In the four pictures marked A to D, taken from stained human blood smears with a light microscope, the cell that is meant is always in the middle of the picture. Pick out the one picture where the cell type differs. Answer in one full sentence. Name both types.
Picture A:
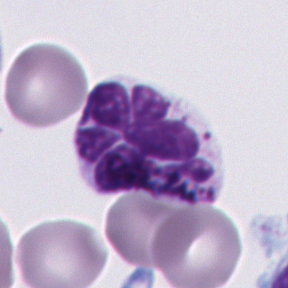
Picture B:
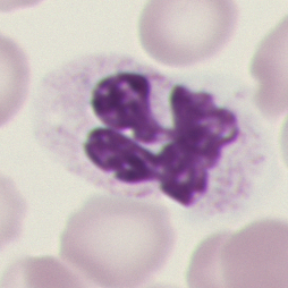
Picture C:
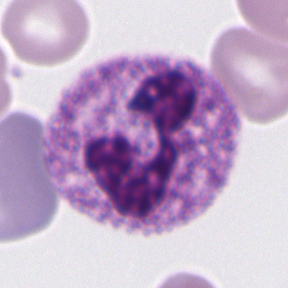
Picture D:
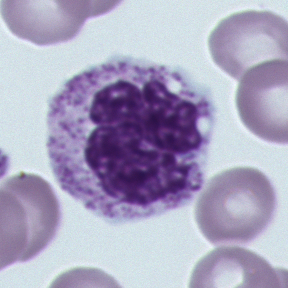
All pictures except A show segmented neutrophils; picture A shows a basophil.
